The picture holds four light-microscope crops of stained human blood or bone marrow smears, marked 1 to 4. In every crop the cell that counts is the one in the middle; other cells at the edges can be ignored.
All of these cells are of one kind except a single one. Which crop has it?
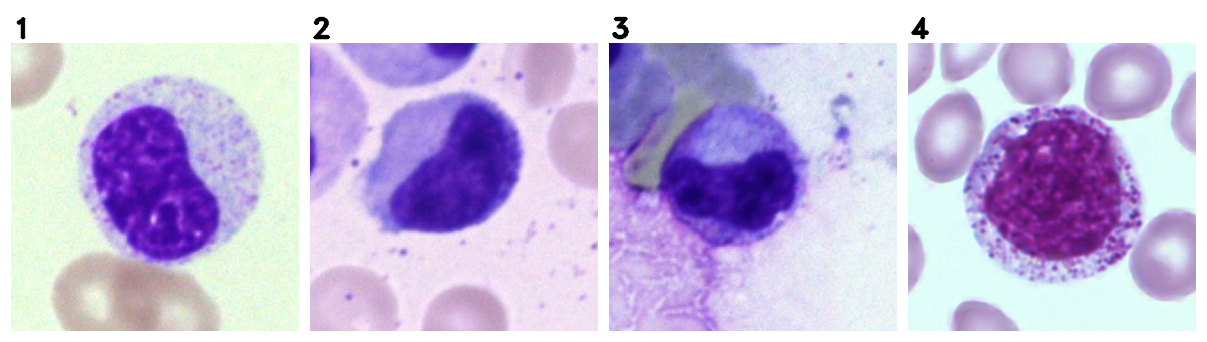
4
